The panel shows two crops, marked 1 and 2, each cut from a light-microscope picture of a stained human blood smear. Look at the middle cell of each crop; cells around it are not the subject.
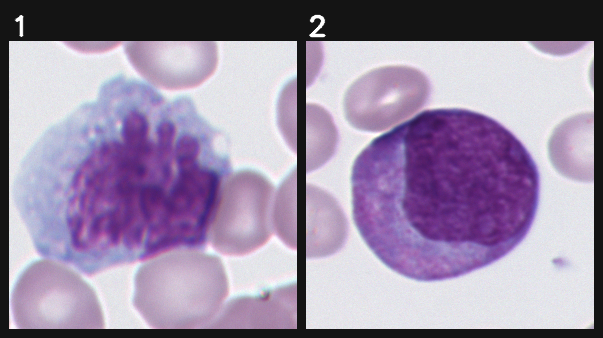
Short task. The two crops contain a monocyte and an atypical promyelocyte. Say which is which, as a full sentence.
Crop 1 and crop 2 are a monocyte and an atypical promyelocyte, in that order.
